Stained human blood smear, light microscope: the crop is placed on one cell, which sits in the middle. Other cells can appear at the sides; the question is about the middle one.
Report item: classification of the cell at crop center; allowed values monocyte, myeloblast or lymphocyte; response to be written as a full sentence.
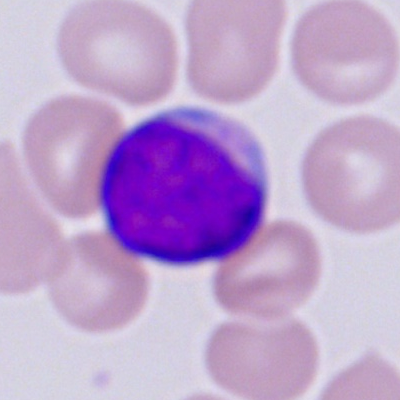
The middle of this crop holds a myeloblast.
